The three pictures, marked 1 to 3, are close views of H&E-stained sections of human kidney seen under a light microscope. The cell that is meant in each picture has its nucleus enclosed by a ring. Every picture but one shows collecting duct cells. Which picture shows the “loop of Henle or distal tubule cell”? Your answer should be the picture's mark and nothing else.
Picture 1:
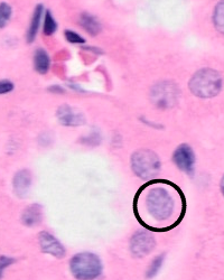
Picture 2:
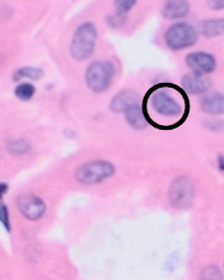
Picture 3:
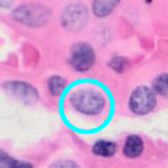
1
